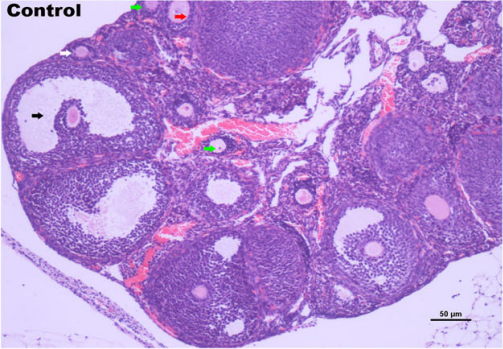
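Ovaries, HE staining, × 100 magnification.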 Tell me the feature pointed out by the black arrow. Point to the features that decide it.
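The arrow points into a large pale fluid-filled cavity within a follicle. The cavity is surrounded by many layers of purple granulosa cells. An oocyte sits on a mound of cells at one side of the cavity. The answer: antral follicles.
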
